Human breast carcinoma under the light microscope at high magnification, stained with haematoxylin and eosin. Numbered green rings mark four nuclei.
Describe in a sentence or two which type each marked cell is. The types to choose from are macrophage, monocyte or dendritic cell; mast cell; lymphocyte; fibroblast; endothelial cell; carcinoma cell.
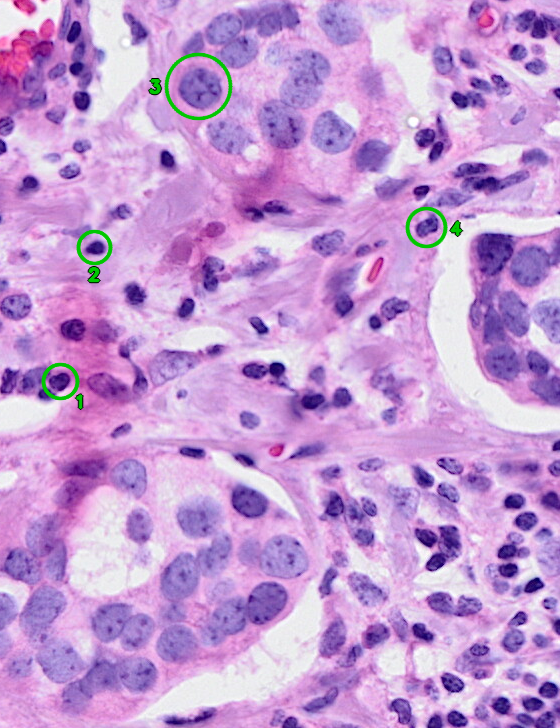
Cell 1 is a lymphocyte, cell 2 is a lymphocyte, cell 3 is a carcinoma cell and cell 4 is a lymphocyte.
